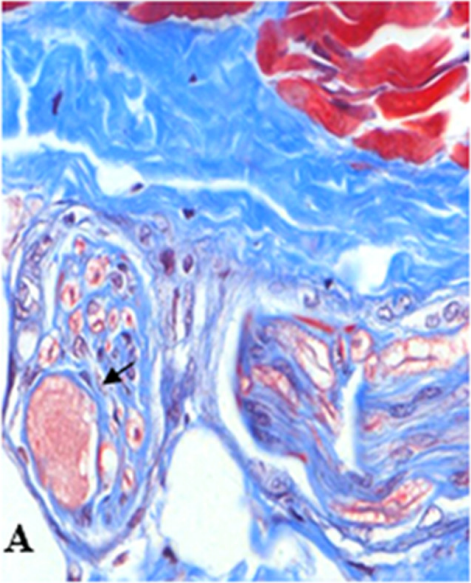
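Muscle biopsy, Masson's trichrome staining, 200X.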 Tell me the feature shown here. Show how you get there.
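A small bundle of round profiles sits in blue-staining connective tissue. Red muscle fibres lie nearby at the top.
Intramuscular nerve twig.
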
